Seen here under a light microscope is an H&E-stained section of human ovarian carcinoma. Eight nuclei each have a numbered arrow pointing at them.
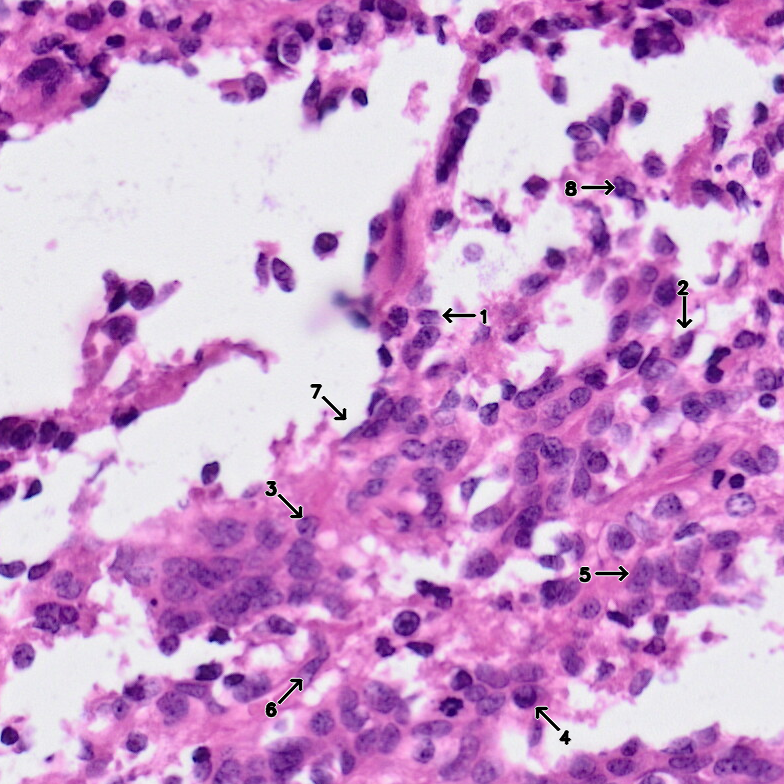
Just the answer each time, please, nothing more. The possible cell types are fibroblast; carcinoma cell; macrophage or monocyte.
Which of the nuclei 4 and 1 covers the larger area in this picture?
4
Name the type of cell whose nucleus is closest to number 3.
carcinoma cell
